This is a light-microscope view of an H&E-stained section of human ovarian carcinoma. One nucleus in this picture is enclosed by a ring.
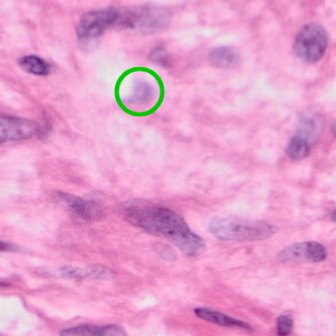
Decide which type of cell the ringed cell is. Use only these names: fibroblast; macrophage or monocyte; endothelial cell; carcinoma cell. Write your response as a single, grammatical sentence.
It is as a fibroblast that the ringed cell is recorded.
